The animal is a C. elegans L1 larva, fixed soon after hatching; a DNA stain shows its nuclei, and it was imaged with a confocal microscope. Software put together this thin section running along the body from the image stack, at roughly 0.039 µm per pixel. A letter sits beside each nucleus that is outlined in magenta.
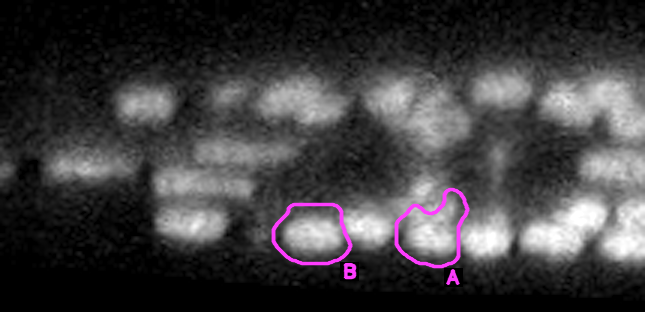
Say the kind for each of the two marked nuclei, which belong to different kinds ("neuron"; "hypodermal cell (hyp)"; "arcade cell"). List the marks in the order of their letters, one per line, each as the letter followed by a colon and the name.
A: hypodermal cell (hyp)
B: arcade cell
